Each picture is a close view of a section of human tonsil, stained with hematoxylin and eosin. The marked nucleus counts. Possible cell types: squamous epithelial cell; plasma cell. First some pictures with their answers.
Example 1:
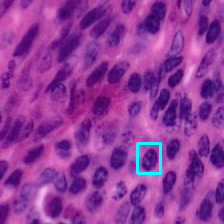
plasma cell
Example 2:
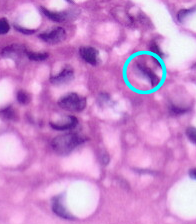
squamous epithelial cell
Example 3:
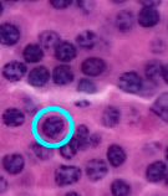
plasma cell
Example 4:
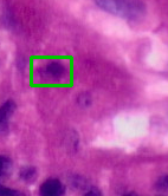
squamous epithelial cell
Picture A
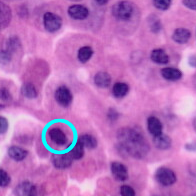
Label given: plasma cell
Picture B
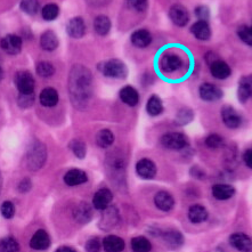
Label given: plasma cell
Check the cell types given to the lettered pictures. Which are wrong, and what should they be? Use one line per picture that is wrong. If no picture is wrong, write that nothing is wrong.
None of the labels needs changing.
